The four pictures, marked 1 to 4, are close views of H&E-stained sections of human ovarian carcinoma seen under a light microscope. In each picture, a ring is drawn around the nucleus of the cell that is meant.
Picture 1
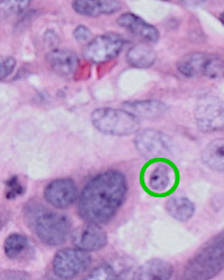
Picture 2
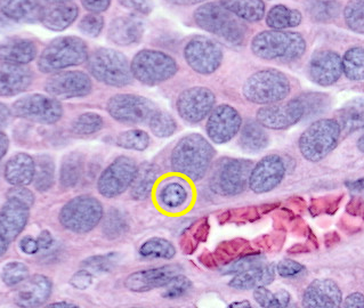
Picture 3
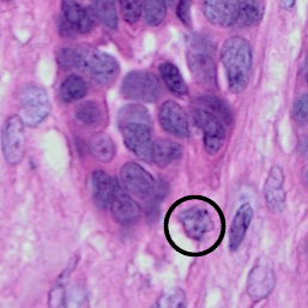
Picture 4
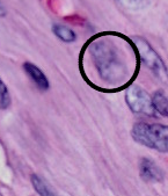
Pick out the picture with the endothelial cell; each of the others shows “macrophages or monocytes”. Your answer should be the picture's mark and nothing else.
4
